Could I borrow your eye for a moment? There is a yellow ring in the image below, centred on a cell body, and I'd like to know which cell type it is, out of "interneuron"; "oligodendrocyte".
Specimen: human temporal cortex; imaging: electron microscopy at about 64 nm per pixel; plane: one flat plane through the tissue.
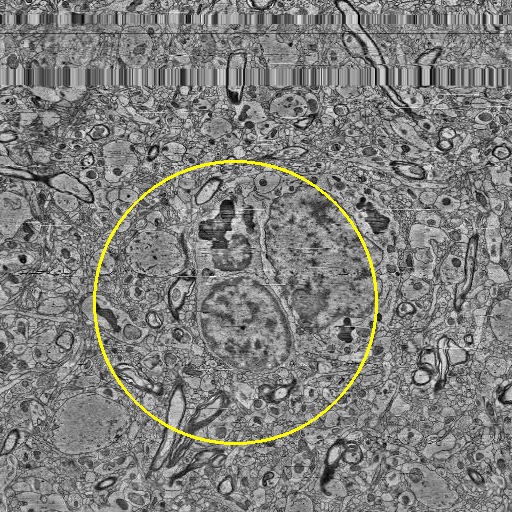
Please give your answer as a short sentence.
The cell body at the centre is that of an oligodendrocyte.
